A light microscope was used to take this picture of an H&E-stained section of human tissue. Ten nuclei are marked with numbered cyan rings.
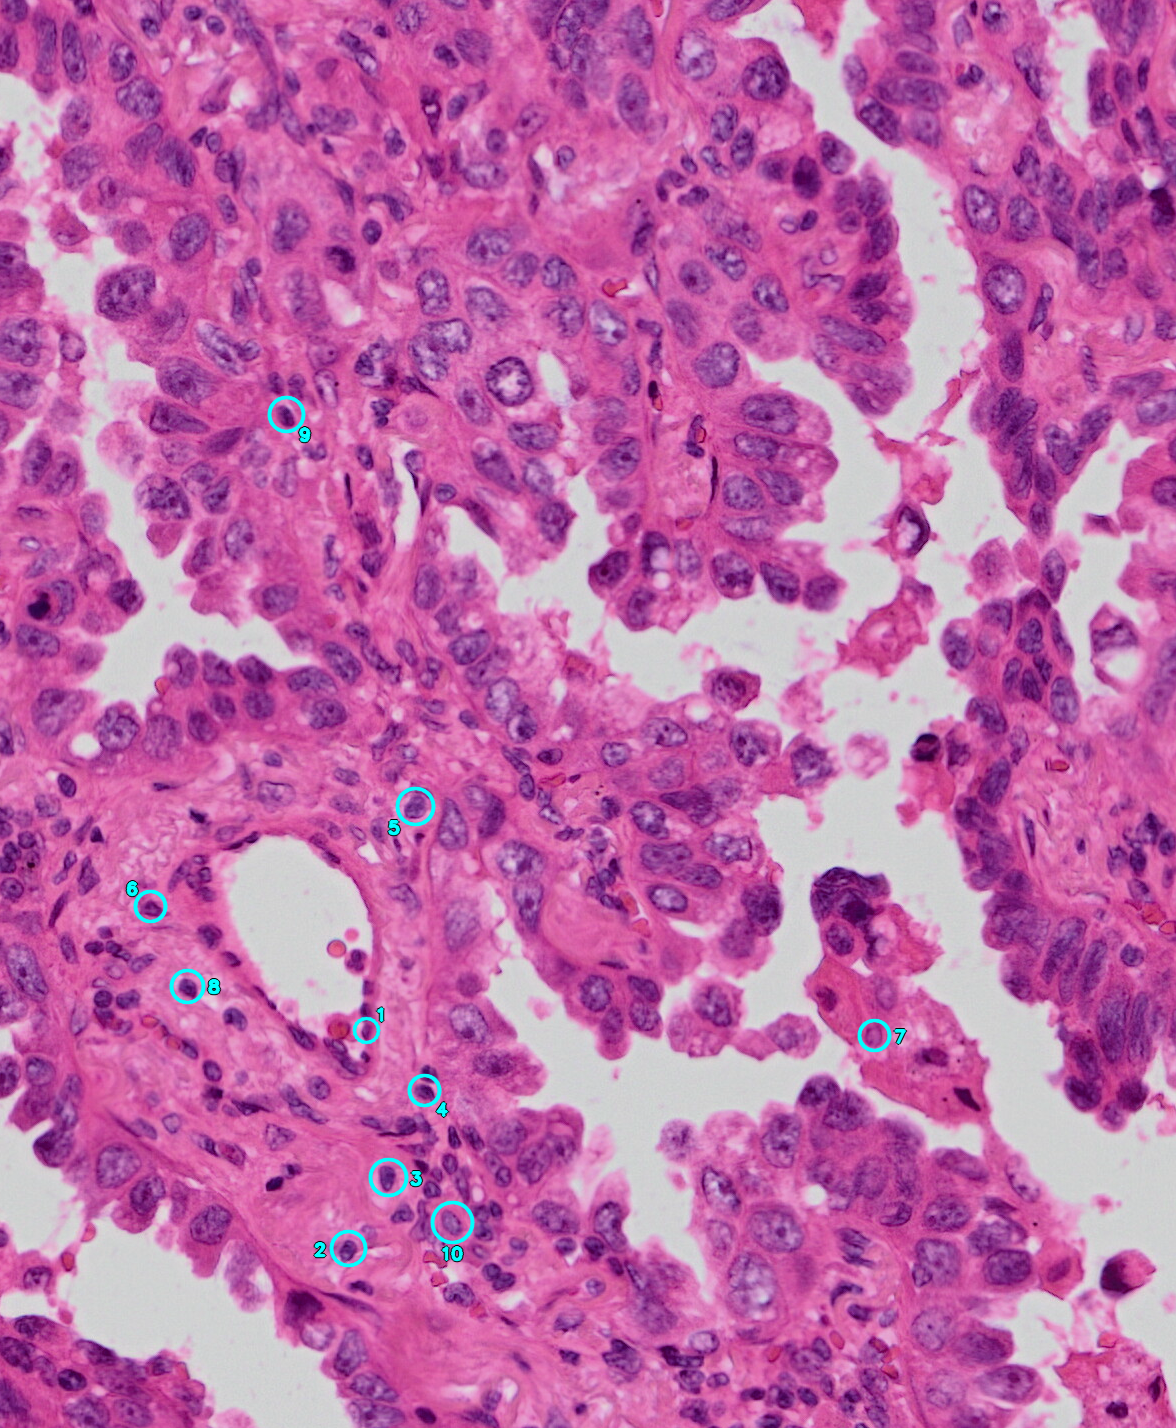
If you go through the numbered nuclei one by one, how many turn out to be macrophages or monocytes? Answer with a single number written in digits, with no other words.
1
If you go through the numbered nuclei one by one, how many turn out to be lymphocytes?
6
